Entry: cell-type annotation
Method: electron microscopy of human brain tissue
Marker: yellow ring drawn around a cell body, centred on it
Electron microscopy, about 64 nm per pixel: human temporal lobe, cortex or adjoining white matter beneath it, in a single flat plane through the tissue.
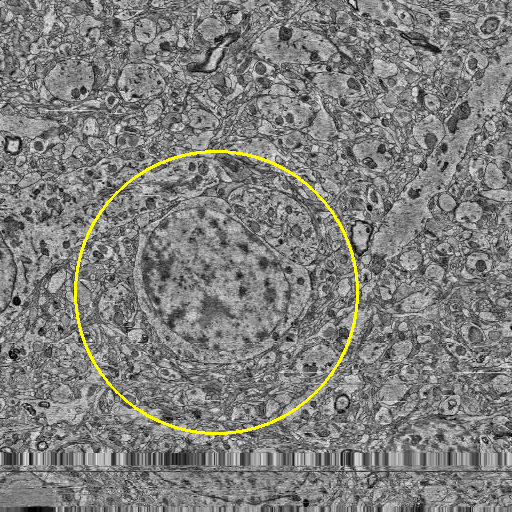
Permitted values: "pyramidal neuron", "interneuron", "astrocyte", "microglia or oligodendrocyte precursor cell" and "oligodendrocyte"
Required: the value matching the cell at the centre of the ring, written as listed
interneuron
